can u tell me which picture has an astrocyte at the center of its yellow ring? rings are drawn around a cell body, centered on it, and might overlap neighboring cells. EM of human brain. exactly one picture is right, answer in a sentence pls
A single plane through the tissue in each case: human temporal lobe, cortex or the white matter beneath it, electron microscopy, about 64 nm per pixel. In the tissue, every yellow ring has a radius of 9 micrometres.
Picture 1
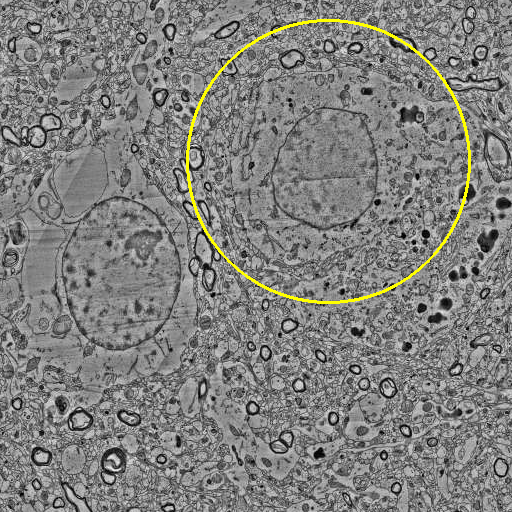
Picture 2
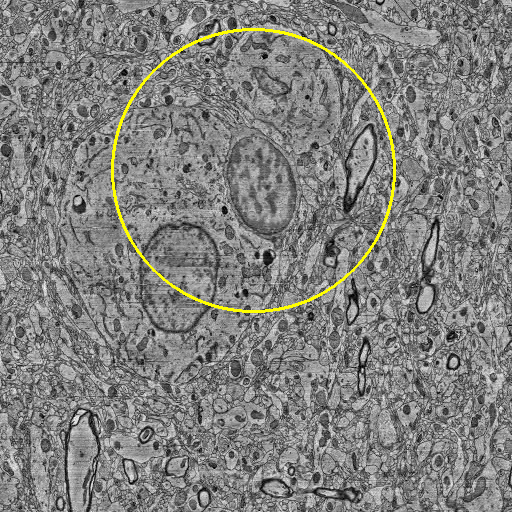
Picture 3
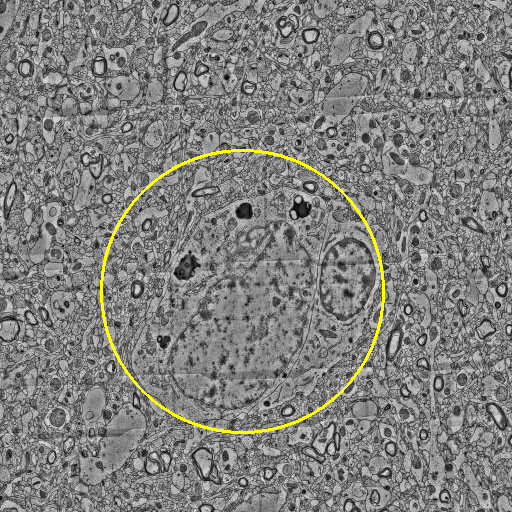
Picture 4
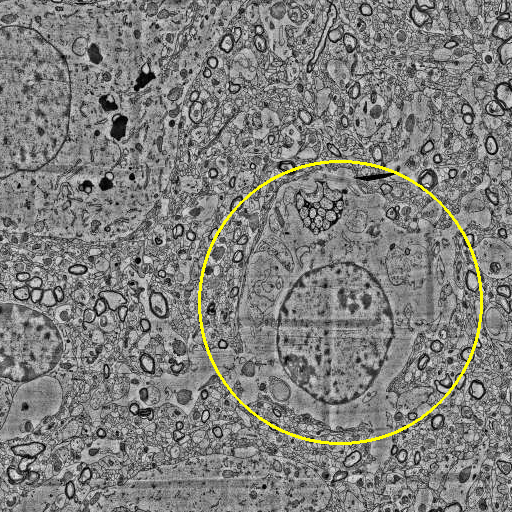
Picture 4 is the one.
